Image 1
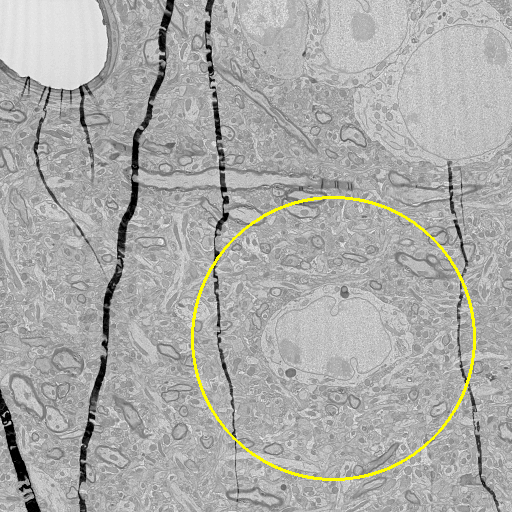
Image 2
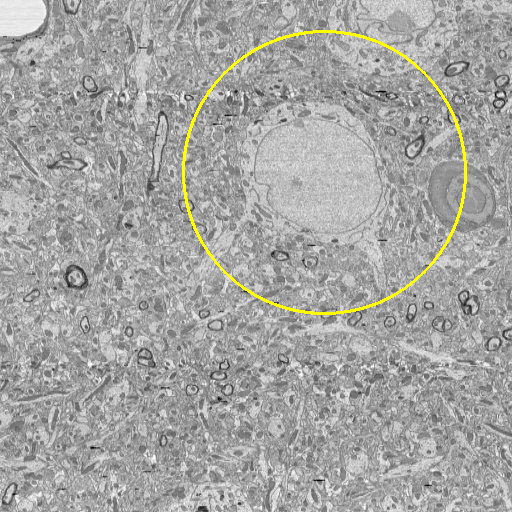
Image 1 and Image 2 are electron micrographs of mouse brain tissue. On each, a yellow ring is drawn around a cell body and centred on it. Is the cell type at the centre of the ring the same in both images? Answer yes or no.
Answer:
yes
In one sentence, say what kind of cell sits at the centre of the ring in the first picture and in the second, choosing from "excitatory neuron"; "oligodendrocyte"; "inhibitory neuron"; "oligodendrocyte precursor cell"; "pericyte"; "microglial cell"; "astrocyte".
The cell in the first picture is an excitatory neuron, and so is the one in the second.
